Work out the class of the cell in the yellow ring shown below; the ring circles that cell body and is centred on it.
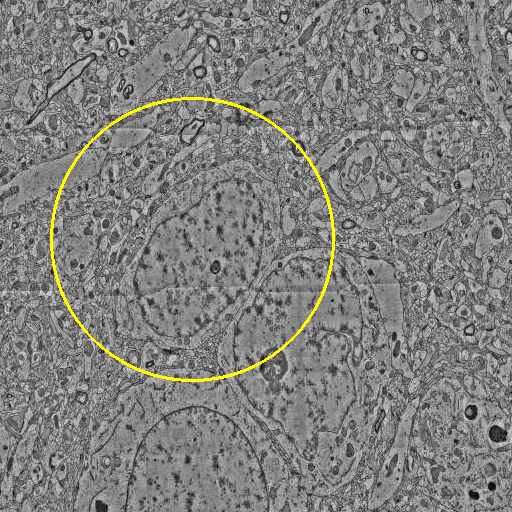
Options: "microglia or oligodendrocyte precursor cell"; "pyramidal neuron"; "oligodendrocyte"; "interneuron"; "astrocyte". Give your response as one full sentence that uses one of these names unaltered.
The body ringed in yellow, right at the ring's centre, is that of an interneuron.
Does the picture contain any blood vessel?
No, none appears.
